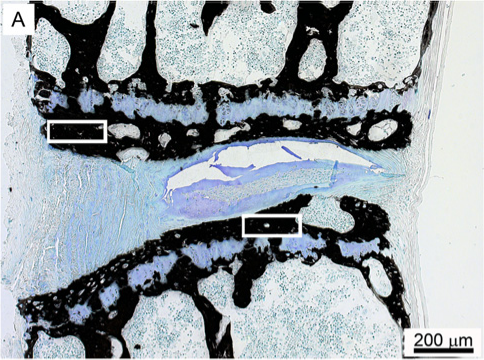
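This low-power section shows a joint between two bony bodies of the spine, with a soft disc lying between two dense, dark-stained plates. The plates and the trabeculae of the bone above and below are stained solid dark brown-black, interrupted by islands of blue-stained matrix. In the middle of the disc lies a pale, elongated cavity with a blue-violet rim and a cleft through it. To either side the disc consists of pale blue-green fibrous tissue in wavy, concentric bands. The spaces between the bony trabeculae are pale and dotted with many small blue nuclei, as in marrow.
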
